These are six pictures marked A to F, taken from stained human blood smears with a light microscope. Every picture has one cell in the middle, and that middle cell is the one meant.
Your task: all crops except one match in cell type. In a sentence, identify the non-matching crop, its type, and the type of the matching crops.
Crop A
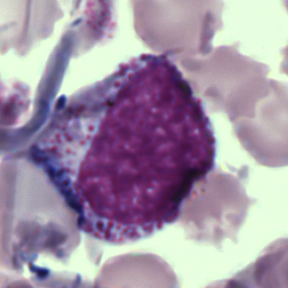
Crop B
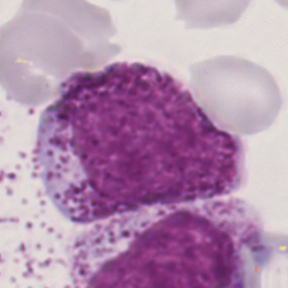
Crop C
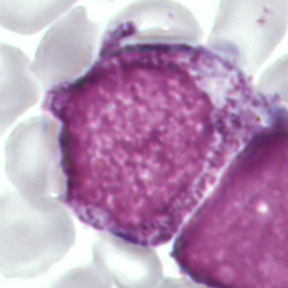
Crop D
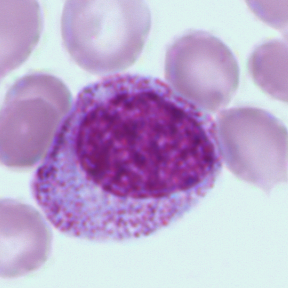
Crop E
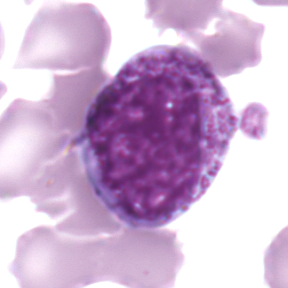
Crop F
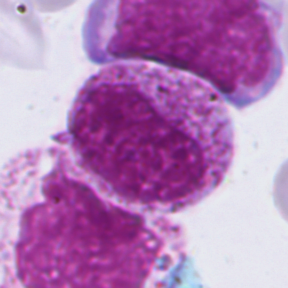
Where the others show myelocytes, crop B shows a promyelocyte.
